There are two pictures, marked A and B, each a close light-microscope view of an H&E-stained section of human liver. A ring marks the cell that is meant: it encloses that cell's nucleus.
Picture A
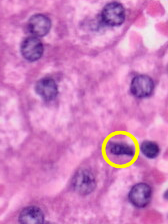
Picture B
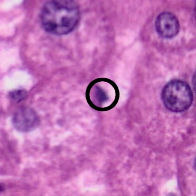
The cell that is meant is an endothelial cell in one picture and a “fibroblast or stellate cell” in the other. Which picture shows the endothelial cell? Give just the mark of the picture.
B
